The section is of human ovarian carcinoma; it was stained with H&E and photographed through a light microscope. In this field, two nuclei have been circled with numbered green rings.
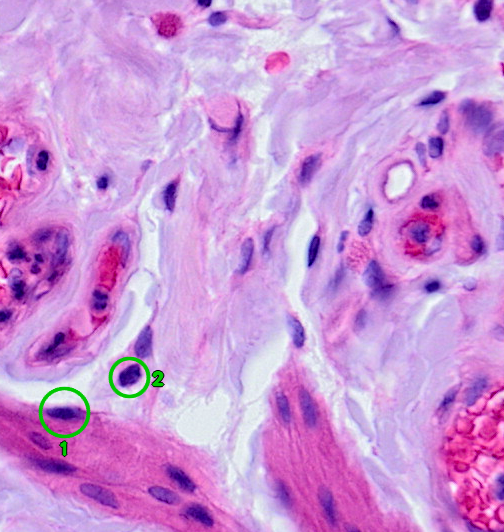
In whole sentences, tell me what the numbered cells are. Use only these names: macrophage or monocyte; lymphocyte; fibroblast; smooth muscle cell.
Cell 1 is a smooth muscle cell. Cell 2 is a lymphocyte.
